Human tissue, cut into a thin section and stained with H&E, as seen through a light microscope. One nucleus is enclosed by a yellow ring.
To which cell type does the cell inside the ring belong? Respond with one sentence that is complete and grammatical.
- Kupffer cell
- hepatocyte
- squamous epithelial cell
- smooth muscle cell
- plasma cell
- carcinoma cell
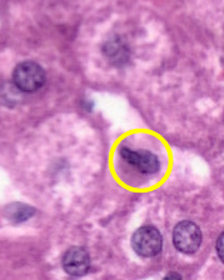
The expected answer is simply that the cell inside the ring is a Kupffer cell.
